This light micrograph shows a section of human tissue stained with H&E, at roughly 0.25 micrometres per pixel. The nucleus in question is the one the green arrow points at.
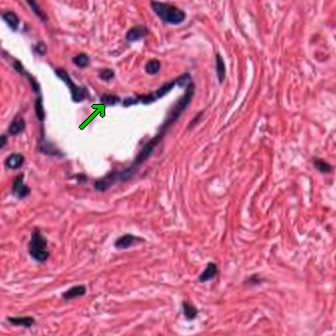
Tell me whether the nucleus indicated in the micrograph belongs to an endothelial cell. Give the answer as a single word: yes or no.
yes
